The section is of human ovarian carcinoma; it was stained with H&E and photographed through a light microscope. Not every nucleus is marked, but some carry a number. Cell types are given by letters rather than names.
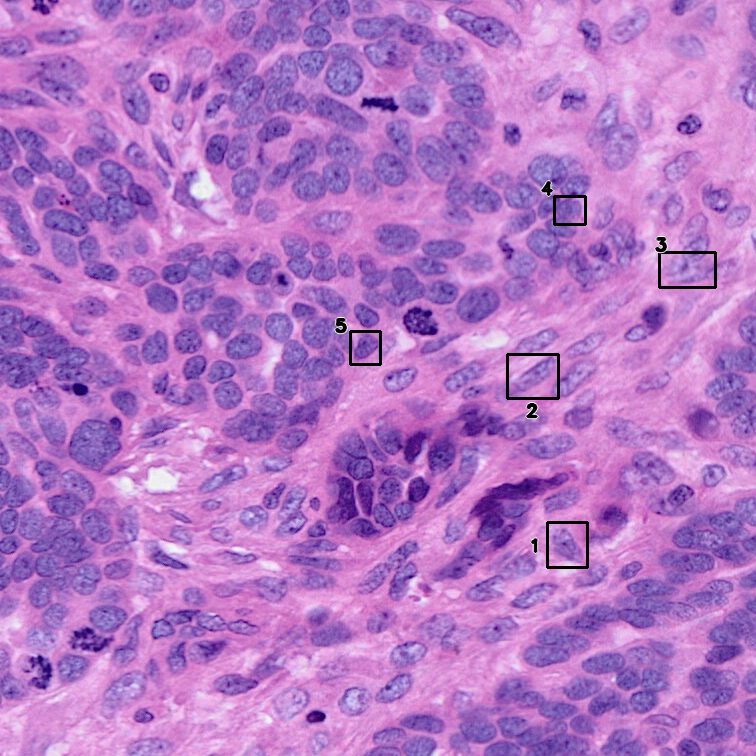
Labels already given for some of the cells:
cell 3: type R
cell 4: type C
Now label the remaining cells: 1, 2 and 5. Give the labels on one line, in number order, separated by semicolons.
type R; type R; type C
